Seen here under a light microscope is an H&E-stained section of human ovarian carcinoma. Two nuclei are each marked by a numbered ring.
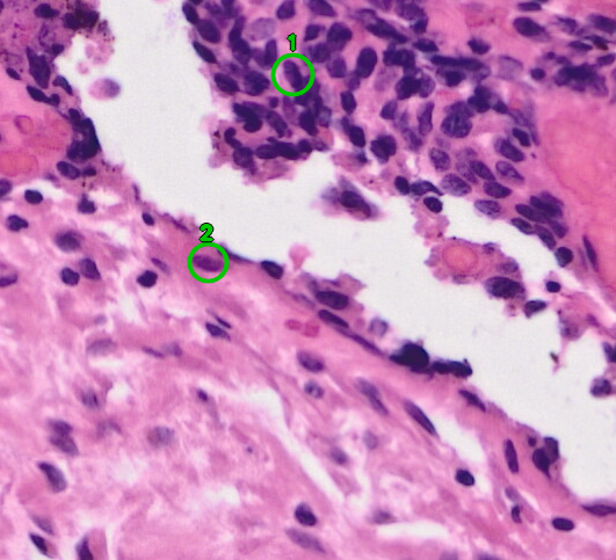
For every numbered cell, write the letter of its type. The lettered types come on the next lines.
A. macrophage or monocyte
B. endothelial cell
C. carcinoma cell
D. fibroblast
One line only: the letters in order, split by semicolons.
C; B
